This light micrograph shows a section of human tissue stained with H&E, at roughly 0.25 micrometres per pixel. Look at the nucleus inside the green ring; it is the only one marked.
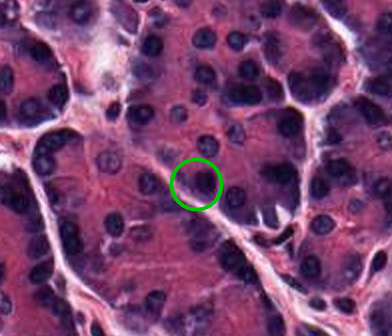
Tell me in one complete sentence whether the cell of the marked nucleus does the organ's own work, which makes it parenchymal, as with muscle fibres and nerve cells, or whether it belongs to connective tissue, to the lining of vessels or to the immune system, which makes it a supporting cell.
The cell whose nucleus is marked is a parenchymal cell, namely a pancreatic acinar cell.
